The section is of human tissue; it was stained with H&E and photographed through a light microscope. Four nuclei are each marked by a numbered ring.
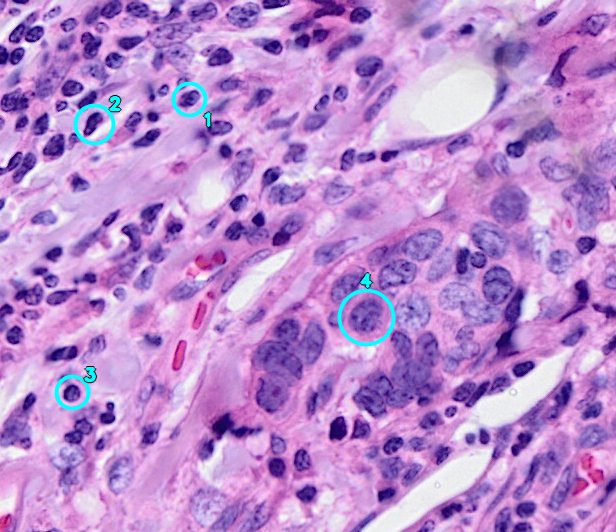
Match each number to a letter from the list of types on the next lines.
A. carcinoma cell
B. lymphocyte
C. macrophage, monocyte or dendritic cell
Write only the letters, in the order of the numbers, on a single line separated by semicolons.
B; B; B; A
